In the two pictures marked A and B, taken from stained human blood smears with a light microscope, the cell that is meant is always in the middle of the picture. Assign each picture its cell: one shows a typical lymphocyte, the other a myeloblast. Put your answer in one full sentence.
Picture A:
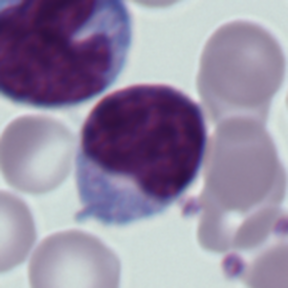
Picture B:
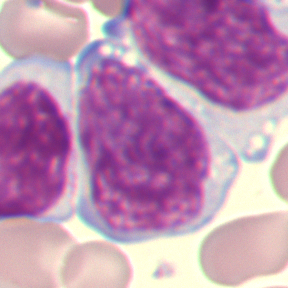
In picture A the cell is a typical lymphocyte; in picture B, a myeloblast.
